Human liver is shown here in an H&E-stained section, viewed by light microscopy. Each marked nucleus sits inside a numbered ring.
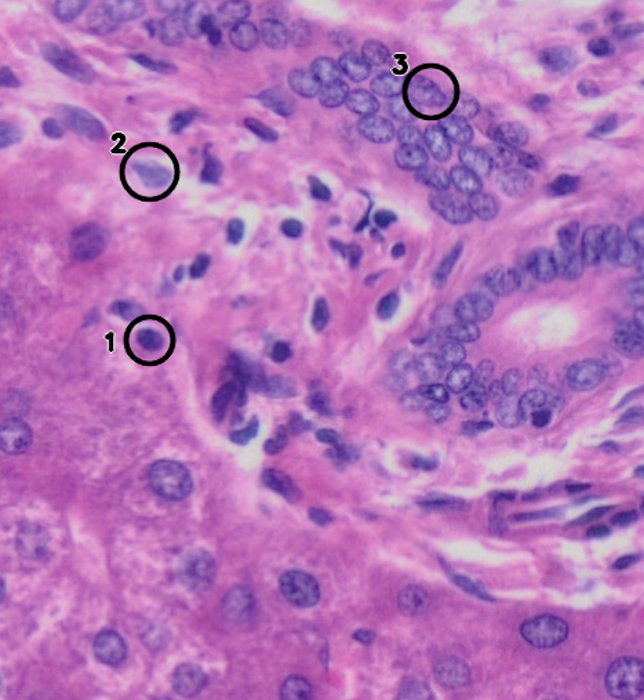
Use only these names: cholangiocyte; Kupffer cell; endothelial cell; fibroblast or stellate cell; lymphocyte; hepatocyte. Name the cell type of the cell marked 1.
lymphocyte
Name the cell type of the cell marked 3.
cholangiocyte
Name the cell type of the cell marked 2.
fibroblast or stellate cell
